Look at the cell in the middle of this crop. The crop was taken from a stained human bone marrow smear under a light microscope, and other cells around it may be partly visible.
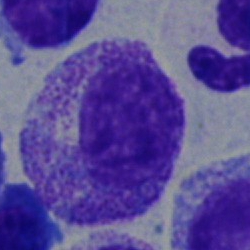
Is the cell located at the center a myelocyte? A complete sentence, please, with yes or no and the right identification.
Yes, placed in the middle of the crop is a myelocyte.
